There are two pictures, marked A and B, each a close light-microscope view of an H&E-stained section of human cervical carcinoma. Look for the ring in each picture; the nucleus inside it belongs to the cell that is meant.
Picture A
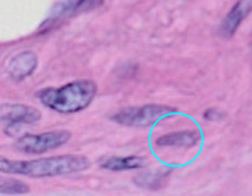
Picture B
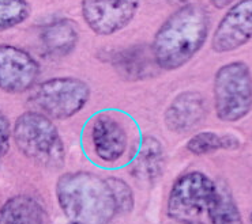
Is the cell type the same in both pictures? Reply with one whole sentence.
No; the cell in picture A is a smooth muscle cell, while the one in picture B is a squamous carcinoma cell.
